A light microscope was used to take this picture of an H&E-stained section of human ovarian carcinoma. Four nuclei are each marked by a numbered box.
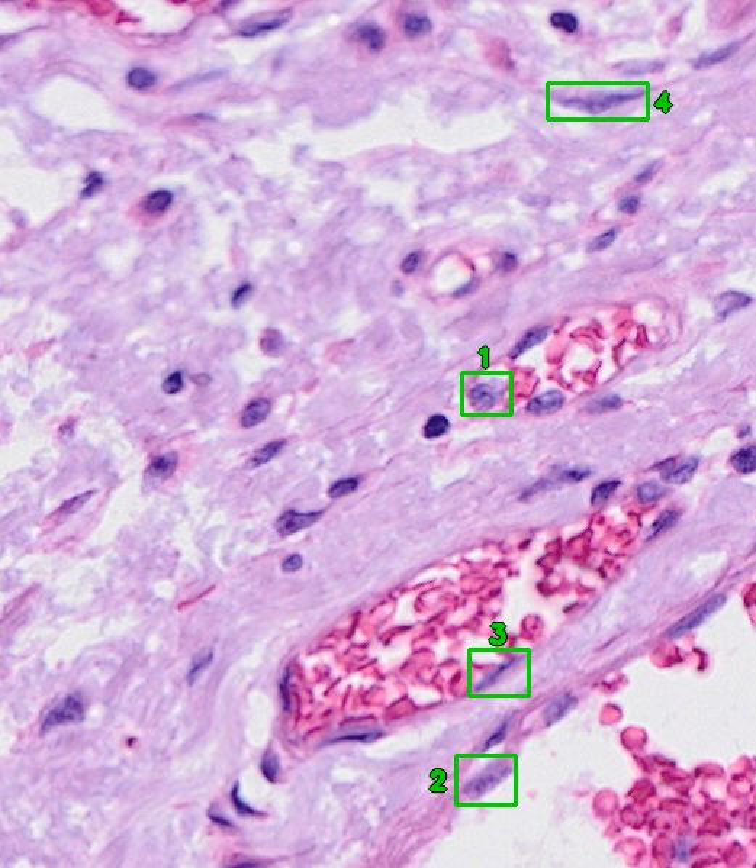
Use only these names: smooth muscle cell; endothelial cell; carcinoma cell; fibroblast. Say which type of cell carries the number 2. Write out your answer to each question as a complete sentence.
Cell 2, as marked in the section, is an endothelial cell.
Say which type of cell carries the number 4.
The cell whose nucleus carries the number 4 is a fibroblast.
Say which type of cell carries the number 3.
Cell 3 is classified as an endothelial cell.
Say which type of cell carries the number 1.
Recognised here as an endothelial cell is the cell numbered 1.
